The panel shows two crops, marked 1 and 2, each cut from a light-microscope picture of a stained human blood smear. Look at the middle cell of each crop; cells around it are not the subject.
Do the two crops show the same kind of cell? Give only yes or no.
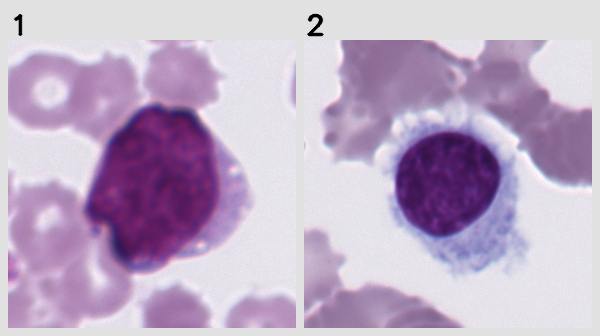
no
